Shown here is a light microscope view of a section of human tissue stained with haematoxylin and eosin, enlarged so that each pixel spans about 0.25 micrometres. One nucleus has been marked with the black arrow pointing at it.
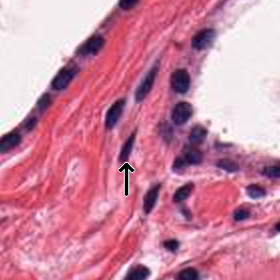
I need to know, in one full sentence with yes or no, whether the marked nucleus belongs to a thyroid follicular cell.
No, for the marked nucleus, the owning cell is a supporting cell, not a thyroid follicular cell.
